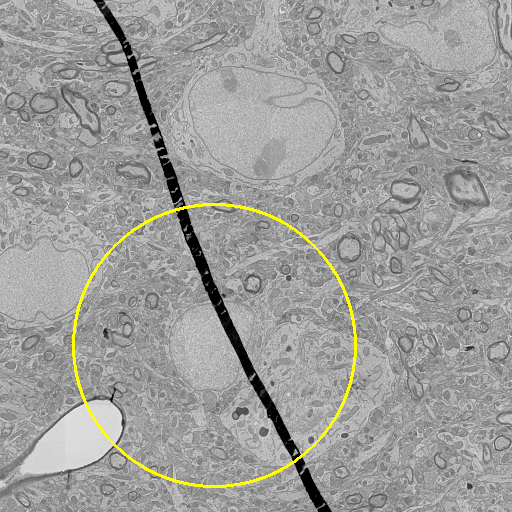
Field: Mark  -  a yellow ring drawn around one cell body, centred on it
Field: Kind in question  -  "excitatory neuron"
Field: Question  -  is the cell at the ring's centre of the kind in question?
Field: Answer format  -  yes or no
no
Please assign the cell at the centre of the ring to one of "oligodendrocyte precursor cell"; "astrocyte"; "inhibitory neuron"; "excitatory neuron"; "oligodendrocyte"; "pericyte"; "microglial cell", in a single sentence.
Instead, the cell inside the ring is an astrocyte.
